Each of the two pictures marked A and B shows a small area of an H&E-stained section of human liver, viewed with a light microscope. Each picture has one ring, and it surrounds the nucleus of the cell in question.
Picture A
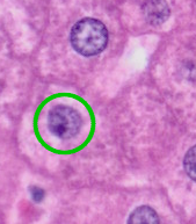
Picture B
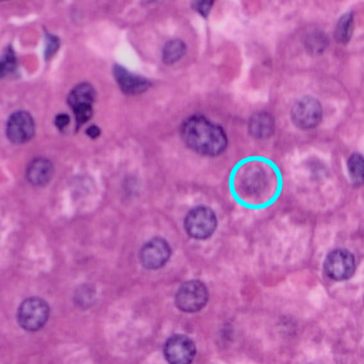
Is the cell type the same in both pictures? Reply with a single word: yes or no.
yes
